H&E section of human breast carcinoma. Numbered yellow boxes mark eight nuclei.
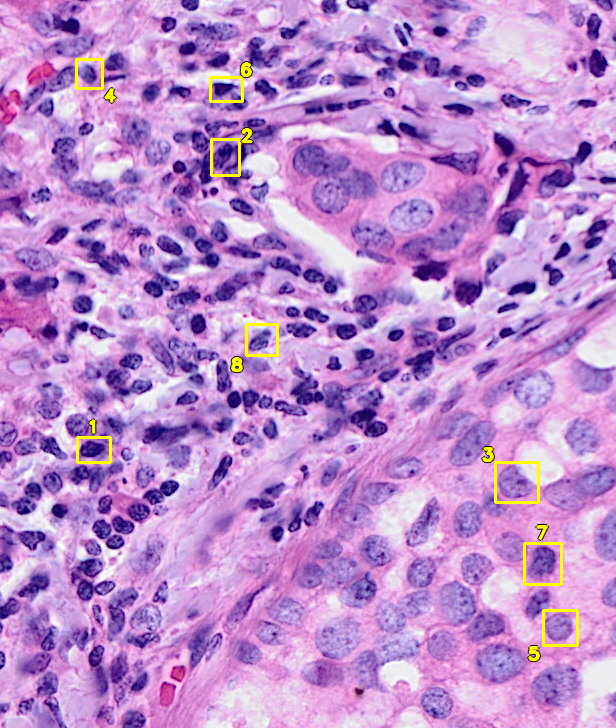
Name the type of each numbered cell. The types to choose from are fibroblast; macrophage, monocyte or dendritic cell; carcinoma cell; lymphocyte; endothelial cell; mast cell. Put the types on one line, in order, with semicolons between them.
lymphocyte; lymphocyte; carcinoma cell; lymphocyte; carcinoma cell; lymphocyte; carcinoma cell; lymphocyte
